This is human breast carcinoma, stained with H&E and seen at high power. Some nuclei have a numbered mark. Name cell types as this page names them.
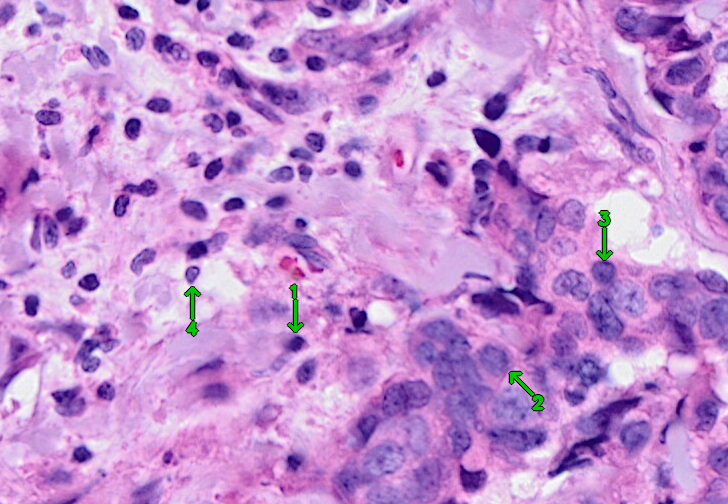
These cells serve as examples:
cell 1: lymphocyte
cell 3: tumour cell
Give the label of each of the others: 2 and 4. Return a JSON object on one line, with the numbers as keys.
{"2": "tumour cell", "4": "lymphocyte"}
